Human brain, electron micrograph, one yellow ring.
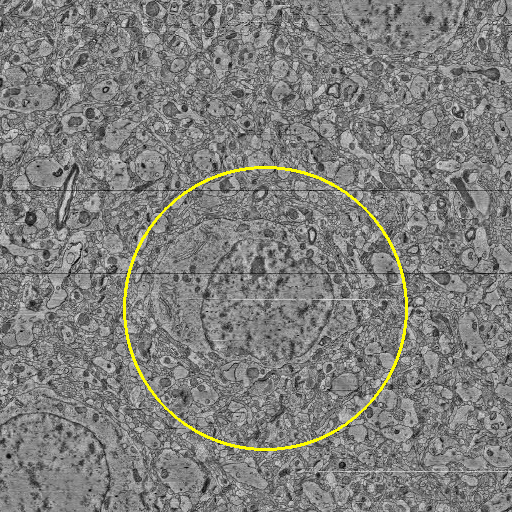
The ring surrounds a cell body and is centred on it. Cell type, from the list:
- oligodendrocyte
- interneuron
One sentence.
The yellow ring circles an interneuron.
